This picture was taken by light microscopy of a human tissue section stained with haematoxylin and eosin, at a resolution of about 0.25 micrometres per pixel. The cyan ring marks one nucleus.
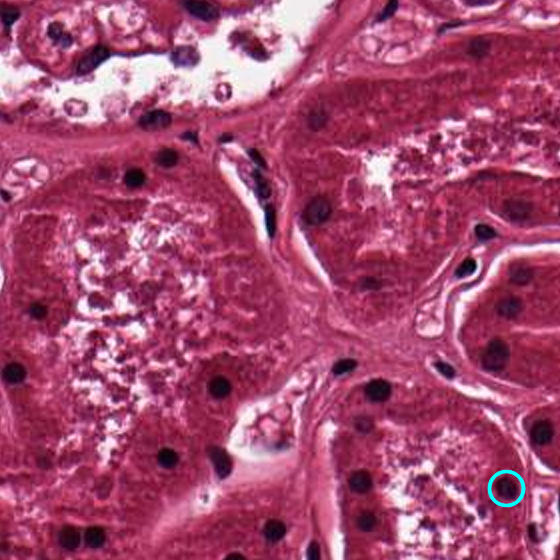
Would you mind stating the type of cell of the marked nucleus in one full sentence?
The marked nucleus is housed in a proximal tubule cell.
